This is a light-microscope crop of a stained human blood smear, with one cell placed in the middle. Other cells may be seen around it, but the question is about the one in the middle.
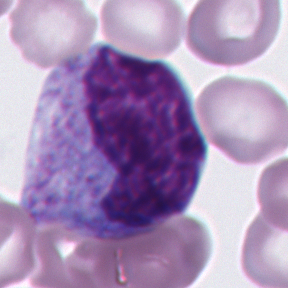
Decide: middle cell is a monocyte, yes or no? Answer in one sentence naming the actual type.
No, the central cell is counted as a promyelocyte instead of a monocyte.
